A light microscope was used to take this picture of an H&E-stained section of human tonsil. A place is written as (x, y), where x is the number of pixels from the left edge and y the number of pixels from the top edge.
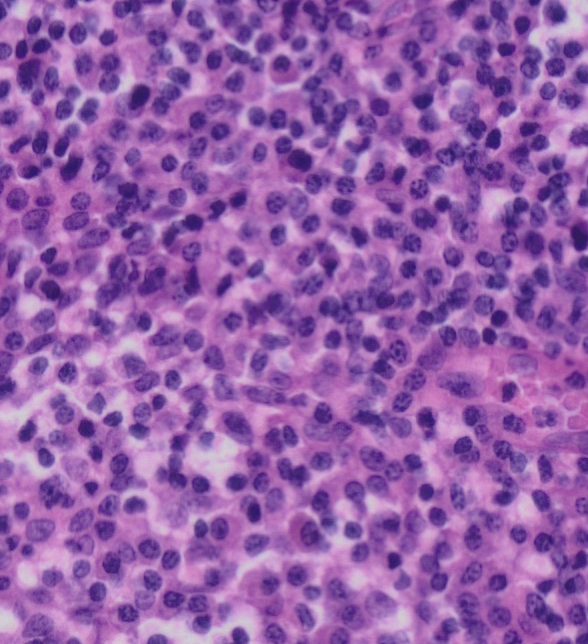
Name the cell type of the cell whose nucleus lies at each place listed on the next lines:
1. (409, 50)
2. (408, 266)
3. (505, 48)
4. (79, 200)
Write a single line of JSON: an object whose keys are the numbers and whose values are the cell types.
{"1": "plasma cell", "2": "plasma cell", "3": "small lymphocyte", "4": "plasma cell"}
